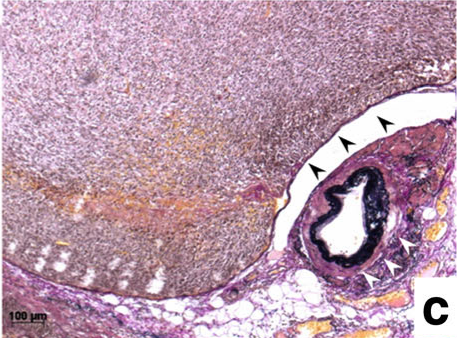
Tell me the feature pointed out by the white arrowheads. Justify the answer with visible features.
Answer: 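Arteries. A small round vessel with a thick wall lies beside the large tumor-filled space. Its wall has a wavy black-staining inner elastic layer around an open lumen.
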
